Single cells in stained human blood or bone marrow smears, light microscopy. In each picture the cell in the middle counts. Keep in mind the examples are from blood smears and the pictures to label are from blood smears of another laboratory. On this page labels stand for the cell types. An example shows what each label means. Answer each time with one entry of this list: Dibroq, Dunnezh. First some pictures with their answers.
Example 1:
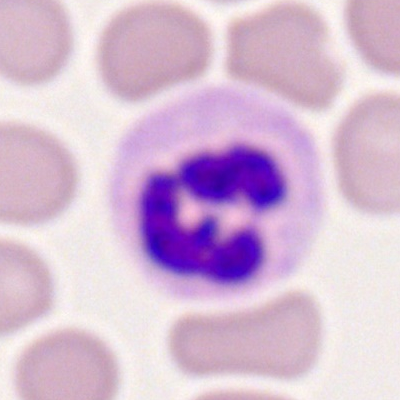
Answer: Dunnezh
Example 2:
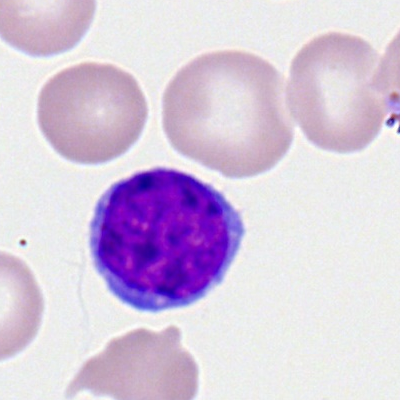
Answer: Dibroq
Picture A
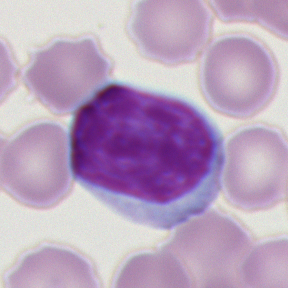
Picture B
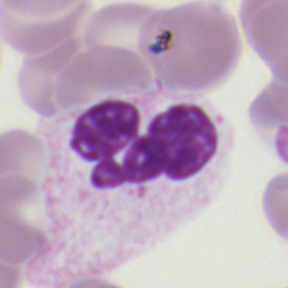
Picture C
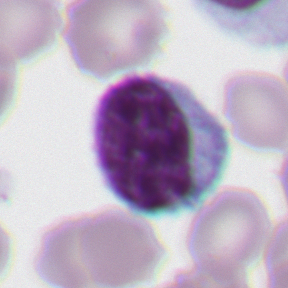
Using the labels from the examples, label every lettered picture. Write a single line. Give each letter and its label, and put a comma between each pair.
A Dibroq, B Dunnezh, C Dibroq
